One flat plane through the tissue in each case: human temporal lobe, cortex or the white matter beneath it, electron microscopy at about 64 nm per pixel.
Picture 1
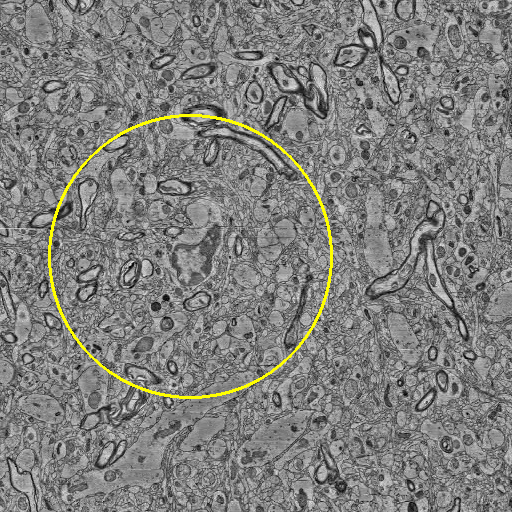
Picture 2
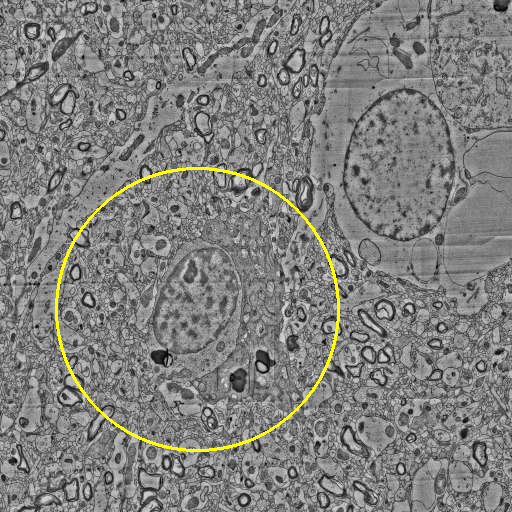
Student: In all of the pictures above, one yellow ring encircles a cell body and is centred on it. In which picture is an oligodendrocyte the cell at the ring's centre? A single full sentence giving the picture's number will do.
Picture number 2 has the wanted cell right at the centre of its ring.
